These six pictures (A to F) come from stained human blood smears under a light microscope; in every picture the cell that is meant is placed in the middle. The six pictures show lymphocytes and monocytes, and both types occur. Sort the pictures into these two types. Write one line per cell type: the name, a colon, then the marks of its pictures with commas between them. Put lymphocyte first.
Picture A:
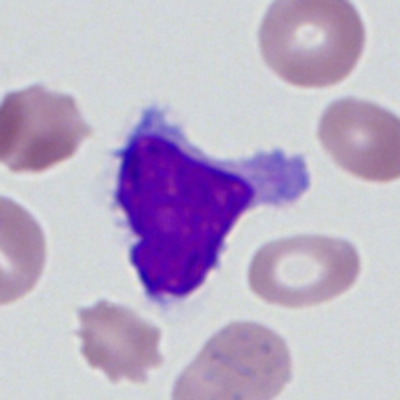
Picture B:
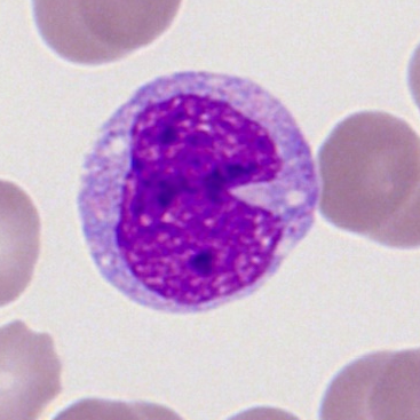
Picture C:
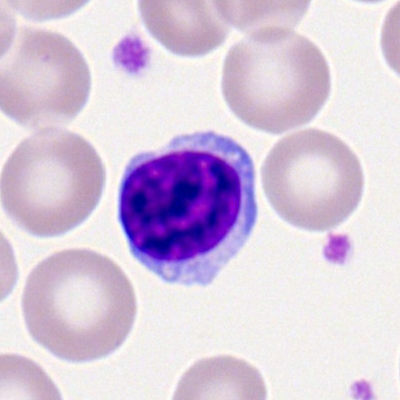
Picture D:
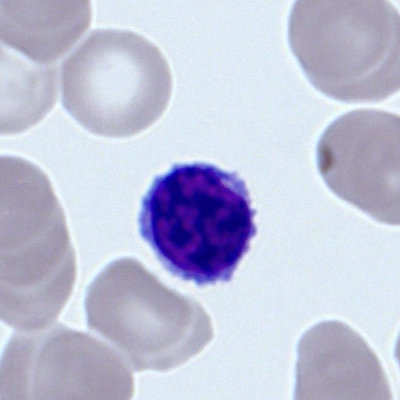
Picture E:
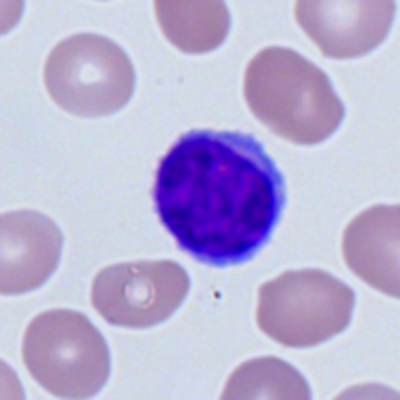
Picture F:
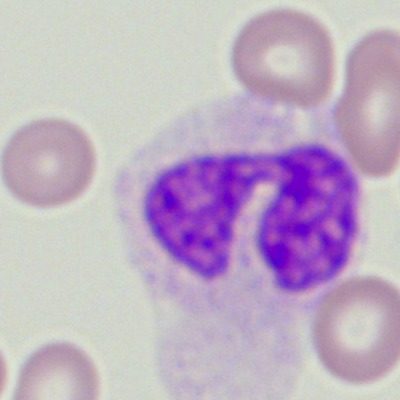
lymphocyte: A, C, D, E
monocyte: B, F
